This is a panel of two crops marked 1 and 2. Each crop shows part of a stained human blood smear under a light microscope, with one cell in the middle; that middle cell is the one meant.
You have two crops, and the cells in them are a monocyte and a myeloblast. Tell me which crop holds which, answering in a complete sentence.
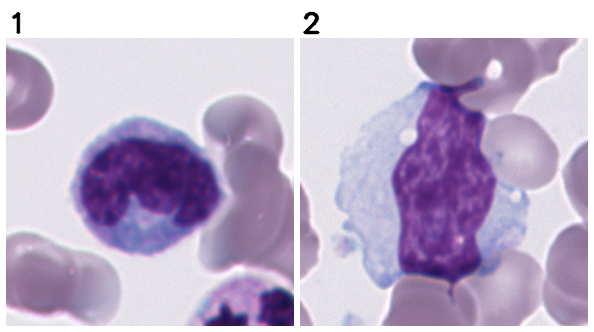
Crop 2 is a myeloblast, while crop 1 is a monocyte.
